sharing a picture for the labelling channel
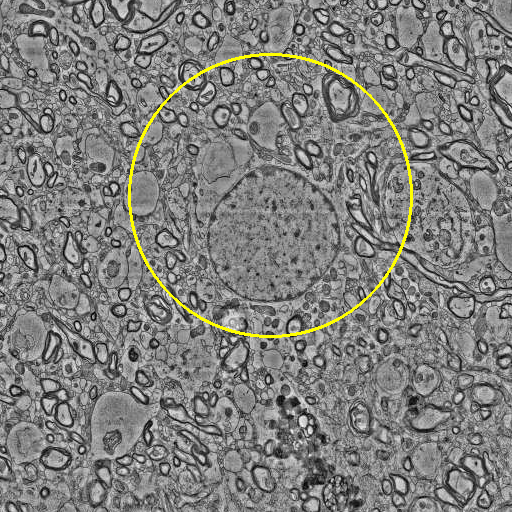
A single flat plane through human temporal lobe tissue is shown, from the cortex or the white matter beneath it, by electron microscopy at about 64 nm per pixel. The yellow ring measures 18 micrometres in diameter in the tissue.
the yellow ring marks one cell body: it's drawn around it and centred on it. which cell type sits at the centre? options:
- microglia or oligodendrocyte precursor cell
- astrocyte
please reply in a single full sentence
In the picture, the cell at the ring's centre is an astrocyte, going by the list.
